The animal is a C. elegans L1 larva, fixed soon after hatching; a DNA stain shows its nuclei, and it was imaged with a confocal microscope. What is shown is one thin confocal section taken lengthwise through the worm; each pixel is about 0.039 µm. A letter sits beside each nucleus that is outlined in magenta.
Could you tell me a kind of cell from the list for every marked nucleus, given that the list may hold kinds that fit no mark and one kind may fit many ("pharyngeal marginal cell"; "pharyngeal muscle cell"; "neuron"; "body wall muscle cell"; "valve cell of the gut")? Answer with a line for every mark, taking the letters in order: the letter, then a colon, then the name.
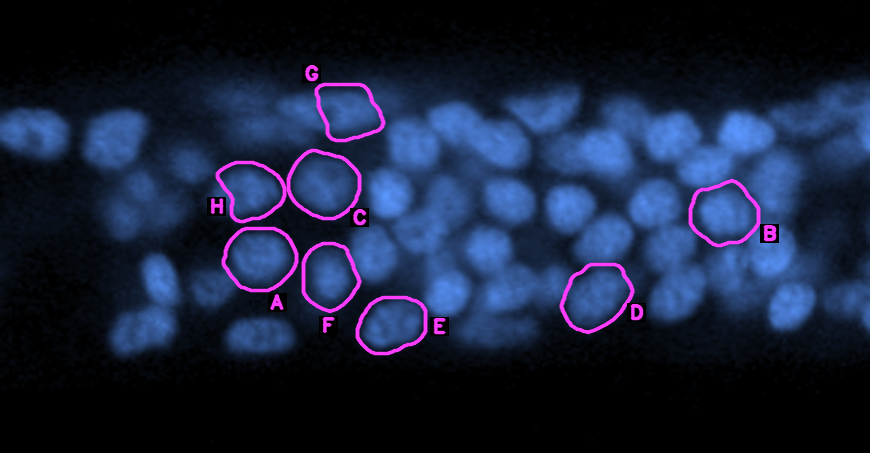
A: pharyngeal marginal cell
B: neuron
C: pharyngeal muscle cell
D: neuron
E: body wall muscle cell
F: neuron
G: body wall muscle cell
H: pharyngeal muscle cell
